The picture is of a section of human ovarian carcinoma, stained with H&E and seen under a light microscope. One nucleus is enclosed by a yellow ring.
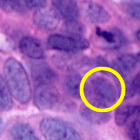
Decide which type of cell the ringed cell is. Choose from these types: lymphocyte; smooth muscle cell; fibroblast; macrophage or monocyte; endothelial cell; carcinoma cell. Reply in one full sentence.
The ringed cell appears to be a carcinoma cell.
